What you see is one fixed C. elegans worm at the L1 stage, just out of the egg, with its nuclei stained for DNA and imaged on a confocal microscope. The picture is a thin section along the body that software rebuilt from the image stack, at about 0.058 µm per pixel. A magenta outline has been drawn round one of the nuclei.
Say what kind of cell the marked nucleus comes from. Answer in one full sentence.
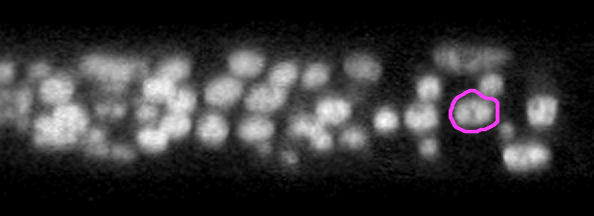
The marked cell is a pharyngeal muscle cell.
